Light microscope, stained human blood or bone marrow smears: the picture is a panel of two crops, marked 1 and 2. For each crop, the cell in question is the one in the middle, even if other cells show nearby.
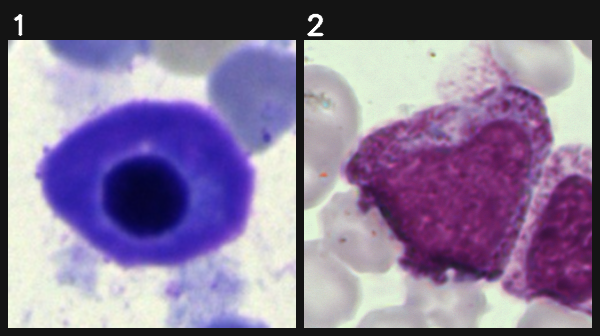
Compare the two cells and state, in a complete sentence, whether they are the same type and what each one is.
No, cell 1 is a plasma cell, and cell 2 is a promyelocyte.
